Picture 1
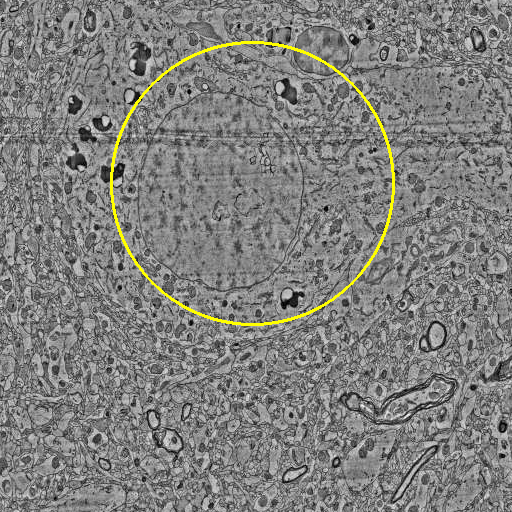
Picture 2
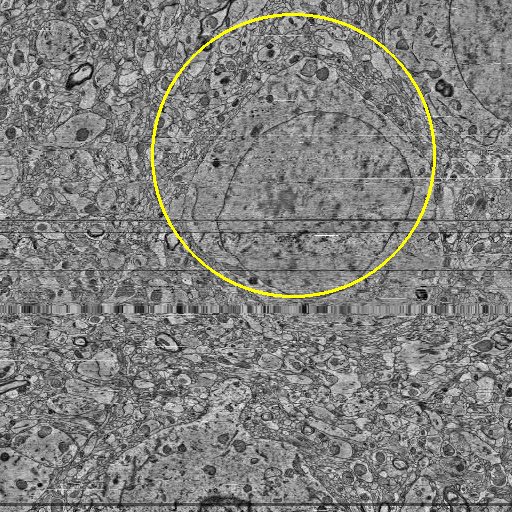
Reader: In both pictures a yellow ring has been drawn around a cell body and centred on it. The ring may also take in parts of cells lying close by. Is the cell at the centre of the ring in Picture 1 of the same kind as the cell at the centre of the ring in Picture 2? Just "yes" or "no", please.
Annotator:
yes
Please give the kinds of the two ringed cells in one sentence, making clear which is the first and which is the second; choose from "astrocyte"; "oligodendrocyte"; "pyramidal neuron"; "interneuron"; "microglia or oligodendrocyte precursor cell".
The first and the second cell are each a pyramidal neuron.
